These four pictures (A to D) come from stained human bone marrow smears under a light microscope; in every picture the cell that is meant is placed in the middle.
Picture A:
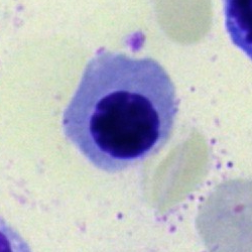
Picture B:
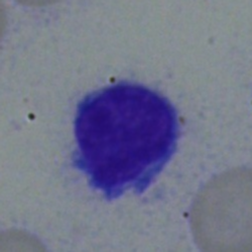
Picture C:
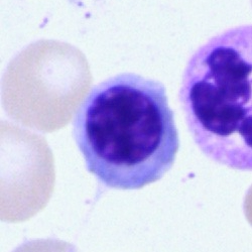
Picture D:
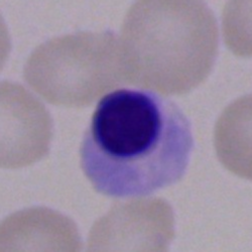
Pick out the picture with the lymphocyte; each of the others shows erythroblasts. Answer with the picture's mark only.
B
